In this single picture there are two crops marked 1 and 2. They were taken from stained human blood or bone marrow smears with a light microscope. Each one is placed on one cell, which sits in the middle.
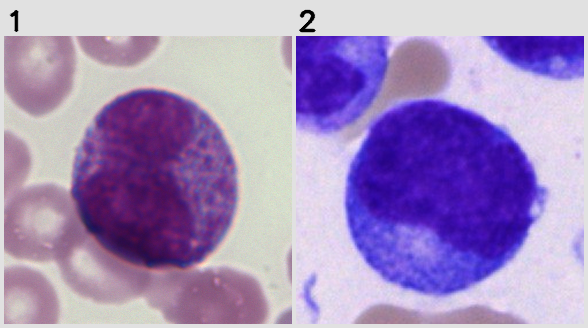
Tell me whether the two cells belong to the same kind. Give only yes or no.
no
